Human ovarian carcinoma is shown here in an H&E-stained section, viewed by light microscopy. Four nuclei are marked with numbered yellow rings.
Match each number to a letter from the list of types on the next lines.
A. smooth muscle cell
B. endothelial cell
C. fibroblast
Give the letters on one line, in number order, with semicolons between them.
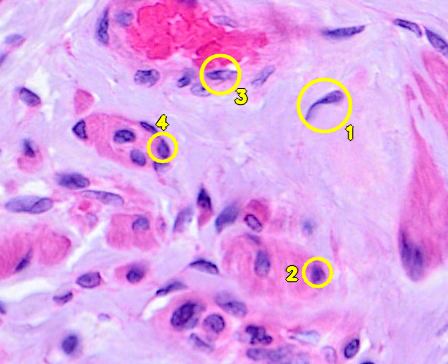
C; A; B; A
